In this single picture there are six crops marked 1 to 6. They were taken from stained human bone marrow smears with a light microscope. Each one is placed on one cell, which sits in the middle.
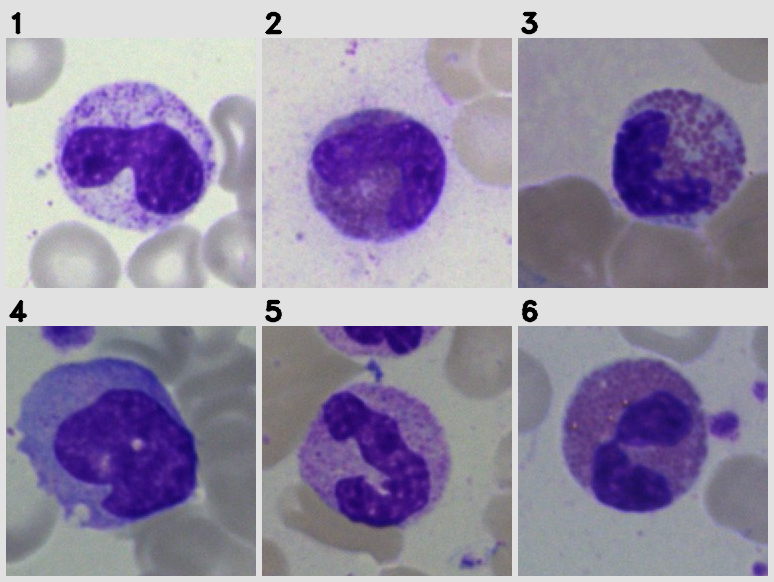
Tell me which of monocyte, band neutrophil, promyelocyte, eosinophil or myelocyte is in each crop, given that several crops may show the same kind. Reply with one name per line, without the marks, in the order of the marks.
band neutrophil
eosinophil
eosinophil
monocyte
band neutrophil
eosinophil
